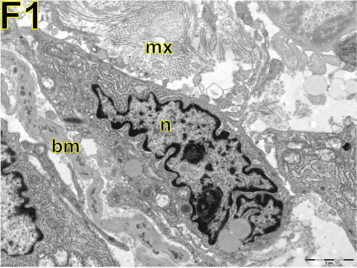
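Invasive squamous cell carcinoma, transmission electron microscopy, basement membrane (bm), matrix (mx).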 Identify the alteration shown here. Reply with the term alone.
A: marked irregularity of nucleus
